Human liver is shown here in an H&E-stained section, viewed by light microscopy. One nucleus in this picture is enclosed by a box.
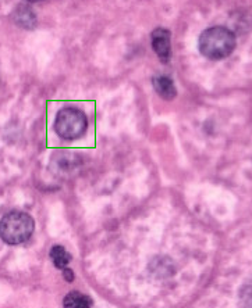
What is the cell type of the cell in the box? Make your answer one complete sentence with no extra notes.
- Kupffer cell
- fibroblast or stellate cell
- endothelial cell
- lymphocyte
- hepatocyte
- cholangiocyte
In this tissue section, the cell in the box is to be classed as a hepatocyte.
